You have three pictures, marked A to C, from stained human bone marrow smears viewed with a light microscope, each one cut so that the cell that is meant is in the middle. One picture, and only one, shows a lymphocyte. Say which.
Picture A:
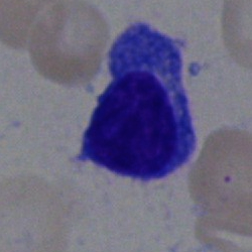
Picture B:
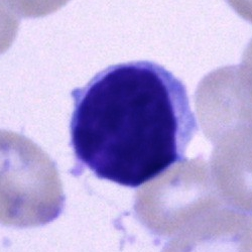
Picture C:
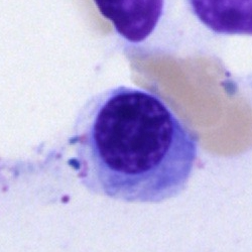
B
